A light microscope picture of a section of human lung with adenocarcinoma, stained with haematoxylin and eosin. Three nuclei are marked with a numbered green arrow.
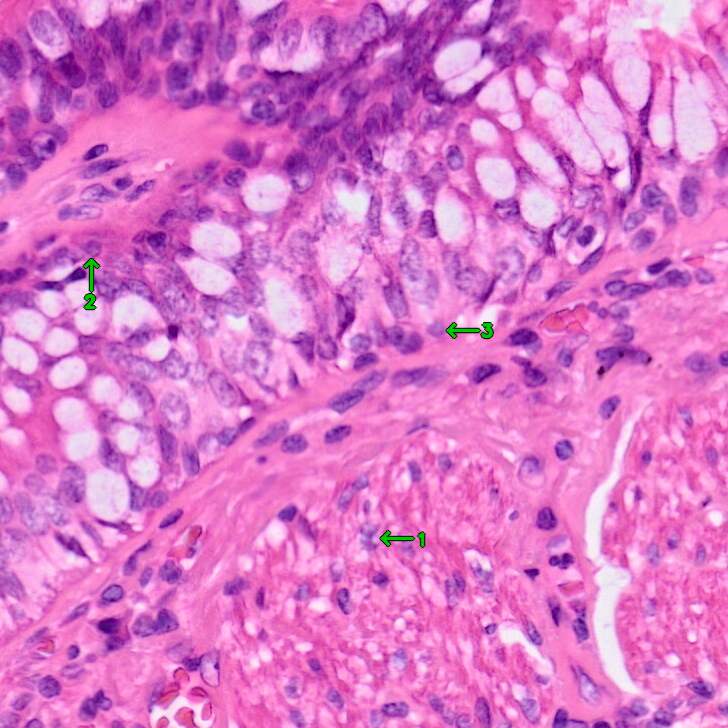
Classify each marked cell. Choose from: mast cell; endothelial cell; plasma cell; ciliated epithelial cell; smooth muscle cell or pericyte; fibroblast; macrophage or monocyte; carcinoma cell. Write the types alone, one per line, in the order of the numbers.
smooth muscle cell or pericyte
ciliated epithelial cell
ciliated epithelial cell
